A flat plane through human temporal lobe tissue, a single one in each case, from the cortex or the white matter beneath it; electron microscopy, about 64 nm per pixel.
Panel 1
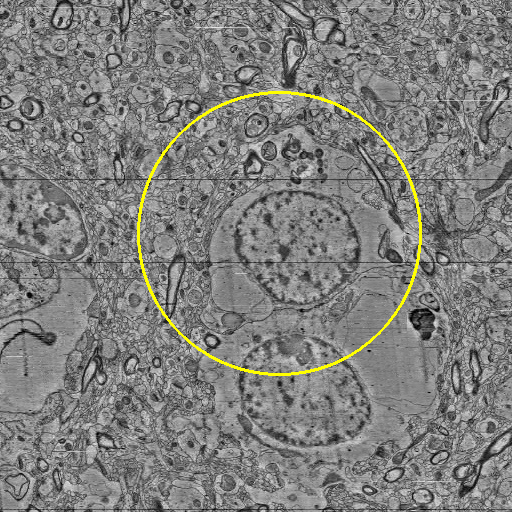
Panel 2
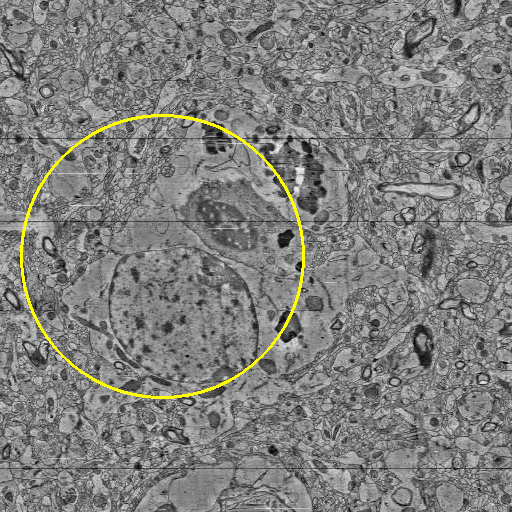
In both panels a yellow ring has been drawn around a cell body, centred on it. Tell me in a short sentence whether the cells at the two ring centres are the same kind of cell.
Yes, they are the same kind of cell.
